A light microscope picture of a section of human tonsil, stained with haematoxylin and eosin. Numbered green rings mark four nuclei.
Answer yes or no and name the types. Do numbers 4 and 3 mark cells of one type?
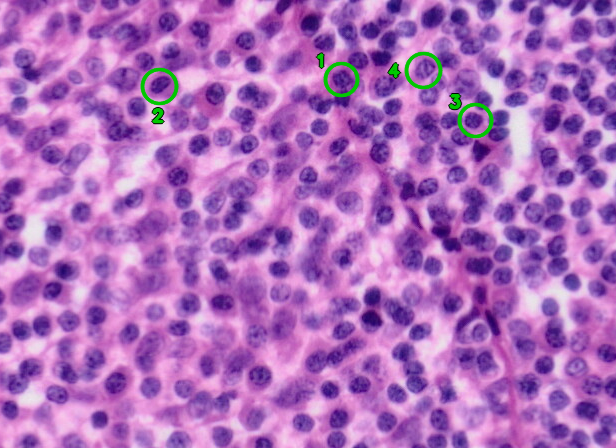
No, the right answer is a plasma cell for cell 4 and a small lymphocyte for cell 3.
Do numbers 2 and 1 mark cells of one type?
Yes, of the numbered cells, 2 and 1 are both plasma cells.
